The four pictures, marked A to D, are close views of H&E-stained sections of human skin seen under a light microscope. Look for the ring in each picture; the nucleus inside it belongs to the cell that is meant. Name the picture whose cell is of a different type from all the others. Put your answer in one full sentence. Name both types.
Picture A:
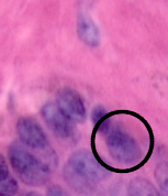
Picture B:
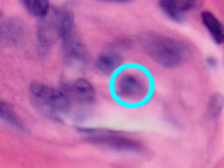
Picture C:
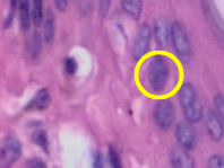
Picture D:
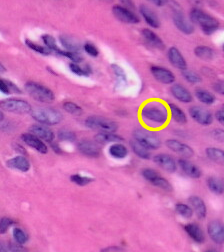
The others show basal keratinocytes, but picture B shows an endothelial cell.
